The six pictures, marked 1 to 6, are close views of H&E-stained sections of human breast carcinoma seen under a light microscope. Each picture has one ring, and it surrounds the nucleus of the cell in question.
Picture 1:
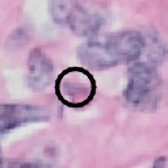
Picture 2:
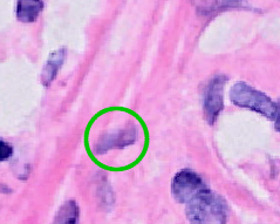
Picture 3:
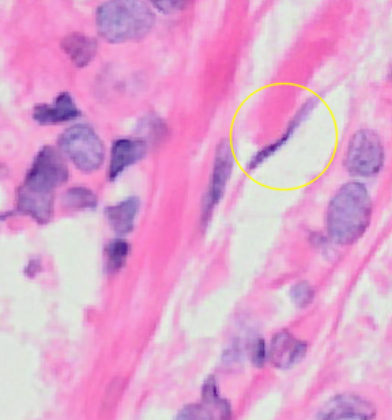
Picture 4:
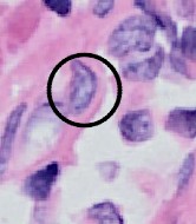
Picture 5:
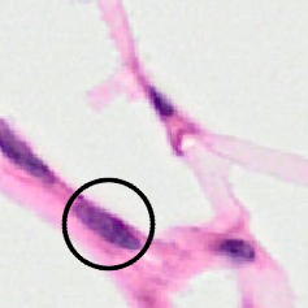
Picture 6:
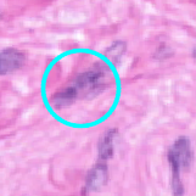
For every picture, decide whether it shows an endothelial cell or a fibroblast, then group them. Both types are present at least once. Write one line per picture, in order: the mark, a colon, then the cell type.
1: endothelial cell
2: fibroblast
3: fibroblast
4: endothelial cell
5: endothelial cell
6: fibroblast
